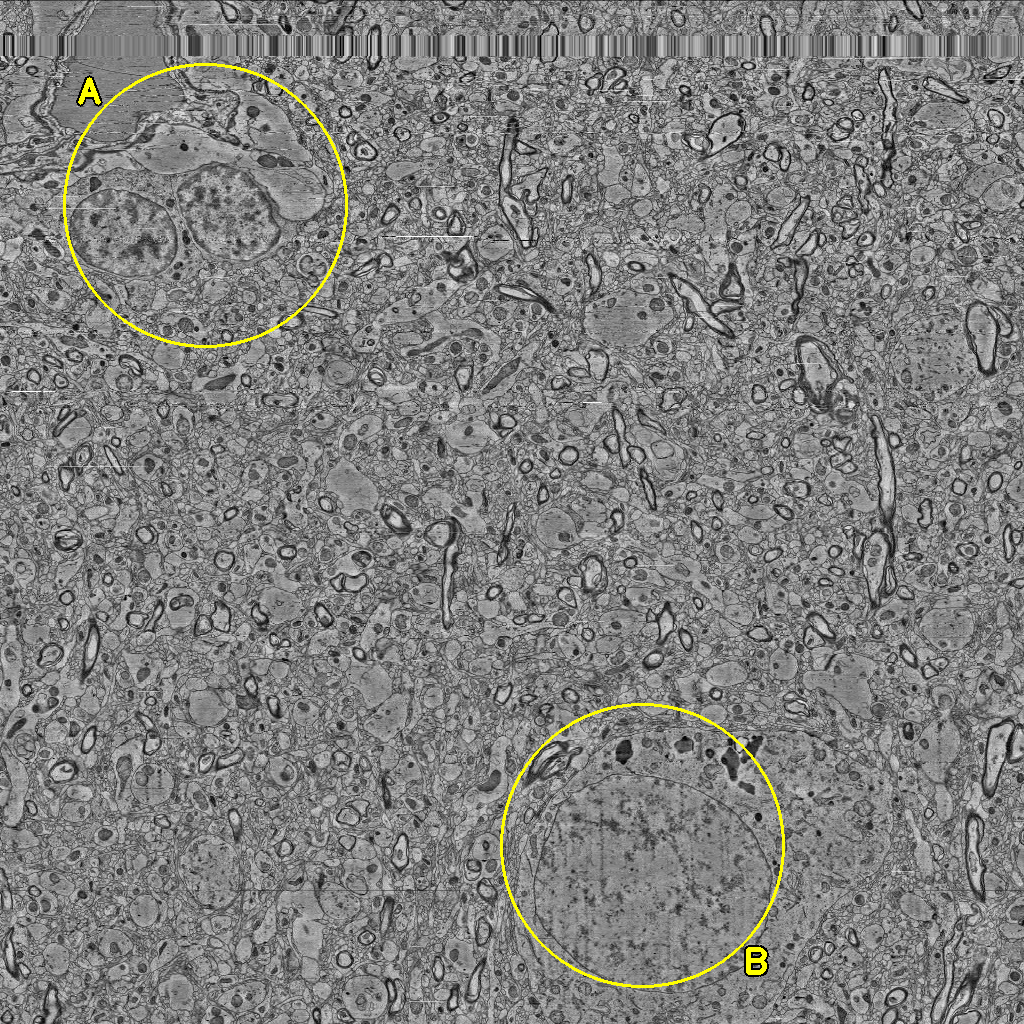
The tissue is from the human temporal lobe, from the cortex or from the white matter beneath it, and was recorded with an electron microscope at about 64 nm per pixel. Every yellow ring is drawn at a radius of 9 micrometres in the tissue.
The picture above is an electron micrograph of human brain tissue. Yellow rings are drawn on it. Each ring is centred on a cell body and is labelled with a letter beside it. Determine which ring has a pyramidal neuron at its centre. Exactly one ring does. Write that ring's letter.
B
